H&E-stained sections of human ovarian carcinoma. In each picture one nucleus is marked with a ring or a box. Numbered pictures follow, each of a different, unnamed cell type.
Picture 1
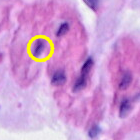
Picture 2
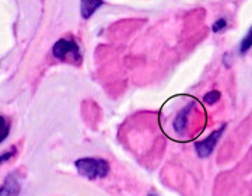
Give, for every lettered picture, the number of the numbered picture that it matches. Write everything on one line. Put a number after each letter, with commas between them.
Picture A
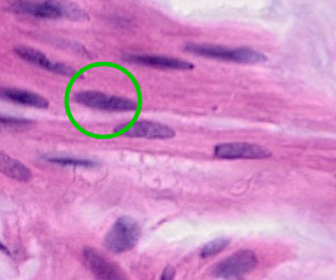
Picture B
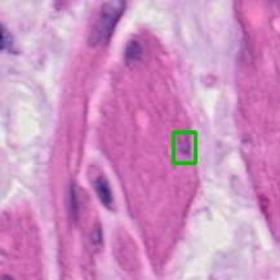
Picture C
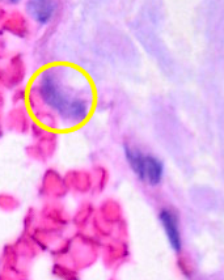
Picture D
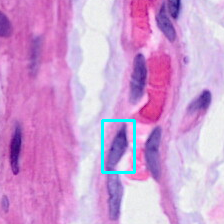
A 1, B 1, C 2, D 2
